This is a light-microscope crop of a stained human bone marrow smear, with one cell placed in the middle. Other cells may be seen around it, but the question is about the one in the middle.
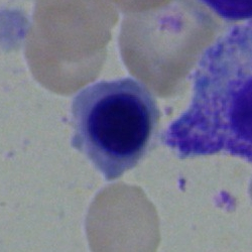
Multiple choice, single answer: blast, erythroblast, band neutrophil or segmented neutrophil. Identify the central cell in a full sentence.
The cell at the middle of the frame should be recorded as an erythroblast.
